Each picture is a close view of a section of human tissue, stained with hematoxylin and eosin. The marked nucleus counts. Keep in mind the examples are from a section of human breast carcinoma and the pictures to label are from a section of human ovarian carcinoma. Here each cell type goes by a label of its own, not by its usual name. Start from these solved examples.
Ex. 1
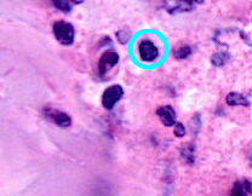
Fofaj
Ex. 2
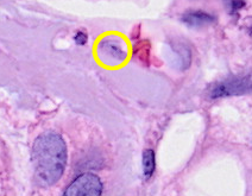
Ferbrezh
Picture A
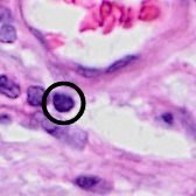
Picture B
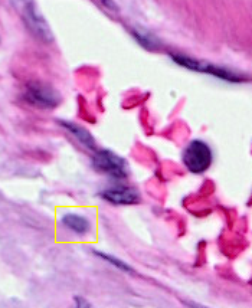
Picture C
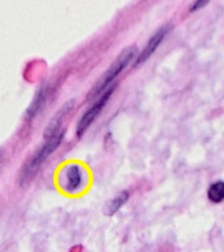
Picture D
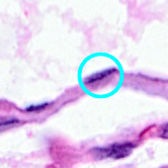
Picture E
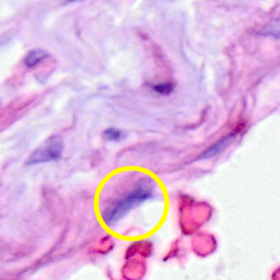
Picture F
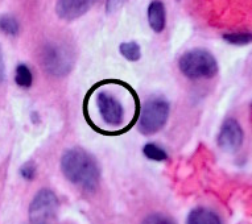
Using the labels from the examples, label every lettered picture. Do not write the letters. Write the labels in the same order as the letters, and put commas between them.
Fofaj, Fofaj, Fofaj, Ferbrezh, Ferbrezh, Fofaj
